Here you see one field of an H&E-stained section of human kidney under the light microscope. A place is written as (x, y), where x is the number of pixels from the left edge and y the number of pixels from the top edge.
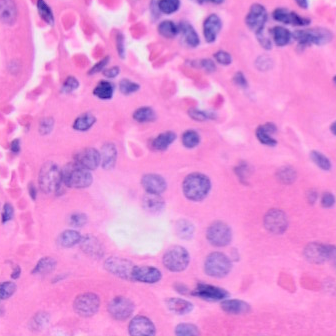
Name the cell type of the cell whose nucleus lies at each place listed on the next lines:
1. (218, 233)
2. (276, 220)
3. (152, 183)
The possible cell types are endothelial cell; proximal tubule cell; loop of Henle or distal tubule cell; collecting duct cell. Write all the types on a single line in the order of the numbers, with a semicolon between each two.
collecting duct cell; proximal tubule cell; collecting duct cell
